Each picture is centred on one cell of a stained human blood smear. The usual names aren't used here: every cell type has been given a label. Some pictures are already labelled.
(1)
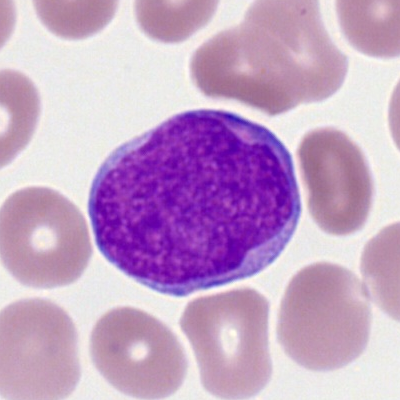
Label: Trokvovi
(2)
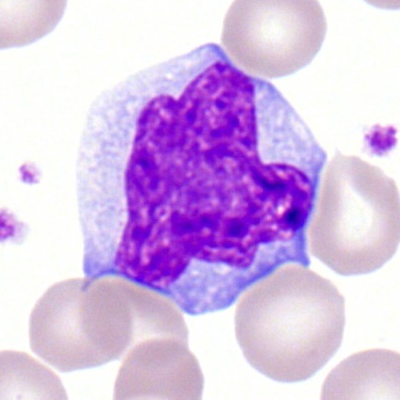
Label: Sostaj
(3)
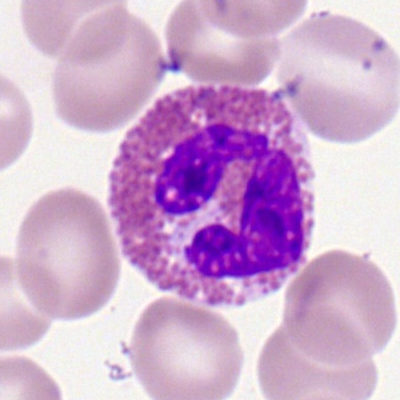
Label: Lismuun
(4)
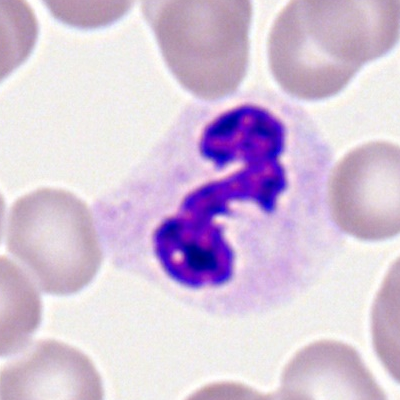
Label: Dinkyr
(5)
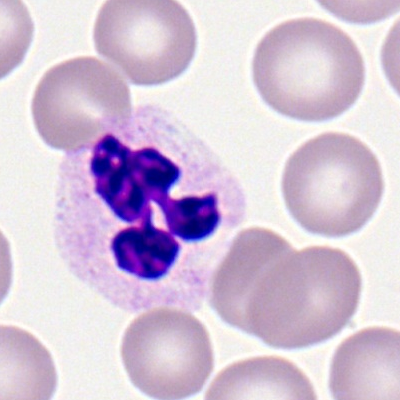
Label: Dinkyr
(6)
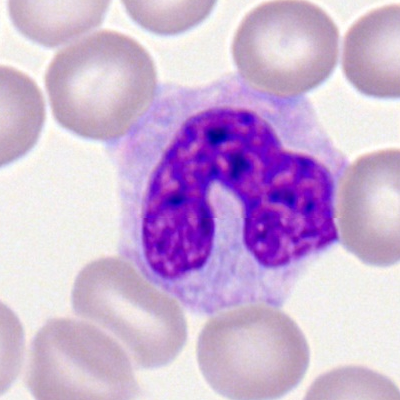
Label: Sostaj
